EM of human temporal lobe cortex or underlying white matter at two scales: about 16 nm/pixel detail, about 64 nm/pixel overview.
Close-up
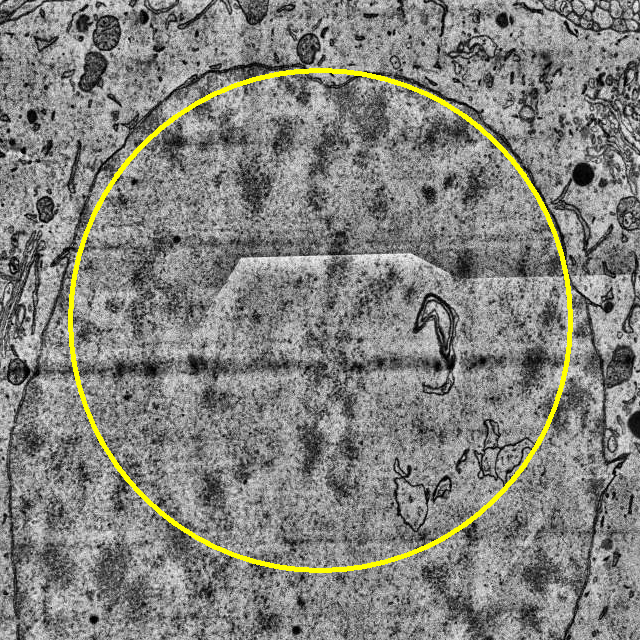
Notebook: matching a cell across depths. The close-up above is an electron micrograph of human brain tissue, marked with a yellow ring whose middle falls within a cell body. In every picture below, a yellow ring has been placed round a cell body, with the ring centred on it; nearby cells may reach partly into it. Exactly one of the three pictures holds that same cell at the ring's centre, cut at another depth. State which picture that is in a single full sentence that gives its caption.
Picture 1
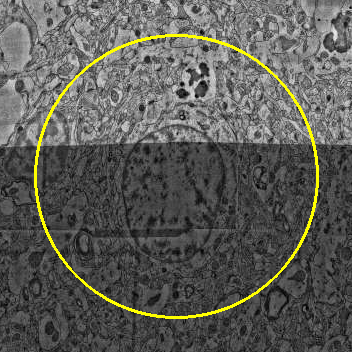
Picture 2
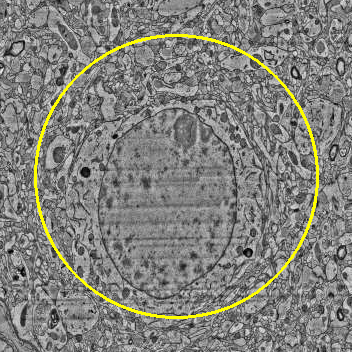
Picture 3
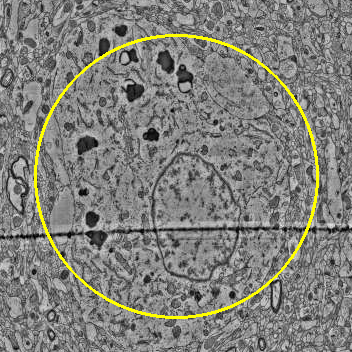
The close-up depicts the ringed cell from Picture 2.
